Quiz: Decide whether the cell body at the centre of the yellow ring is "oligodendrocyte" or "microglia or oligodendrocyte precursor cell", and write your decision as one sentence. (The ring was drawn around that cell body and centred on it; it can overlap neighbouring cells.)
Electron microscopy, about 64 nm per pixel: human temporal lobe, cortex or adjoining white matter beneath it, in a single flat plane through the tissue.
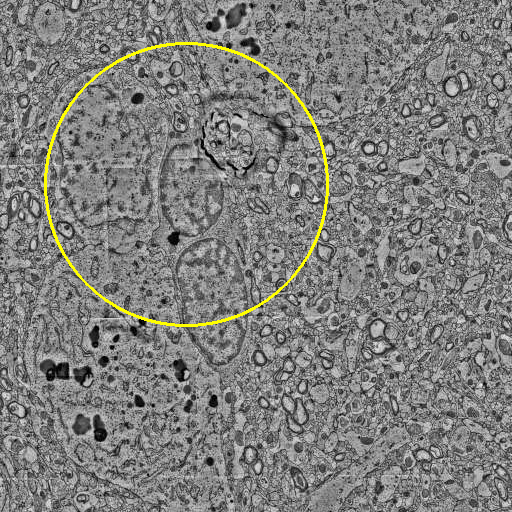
The cell the ring is centred on is an oligodendrocyte.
